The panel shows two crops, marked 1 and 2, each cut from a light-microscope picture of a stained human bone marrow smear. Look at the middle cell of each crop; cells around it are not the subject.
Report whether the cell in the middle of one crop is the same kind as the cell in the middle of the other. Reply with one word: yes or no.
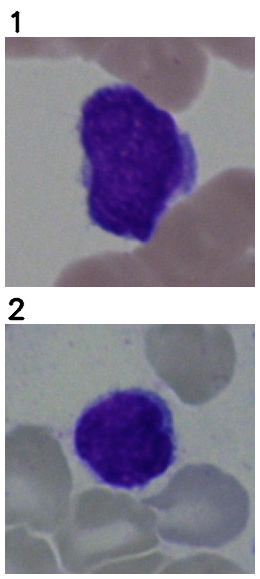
no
